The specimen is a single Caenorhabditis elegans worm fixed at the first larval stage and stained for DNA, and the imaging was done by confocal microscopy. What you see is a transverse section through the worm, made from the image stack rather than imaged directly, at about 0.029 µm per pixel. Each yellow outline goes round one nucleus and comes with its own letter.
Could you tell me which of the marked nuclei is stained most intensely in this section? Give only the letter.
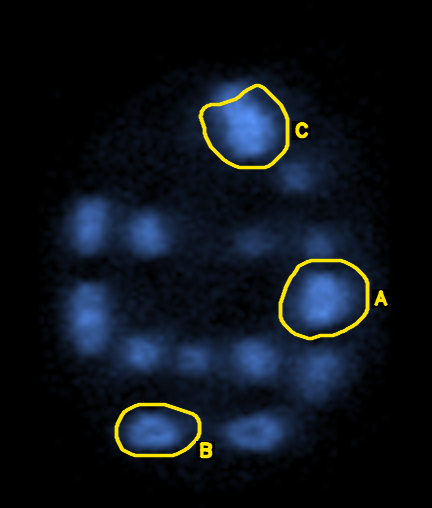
C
